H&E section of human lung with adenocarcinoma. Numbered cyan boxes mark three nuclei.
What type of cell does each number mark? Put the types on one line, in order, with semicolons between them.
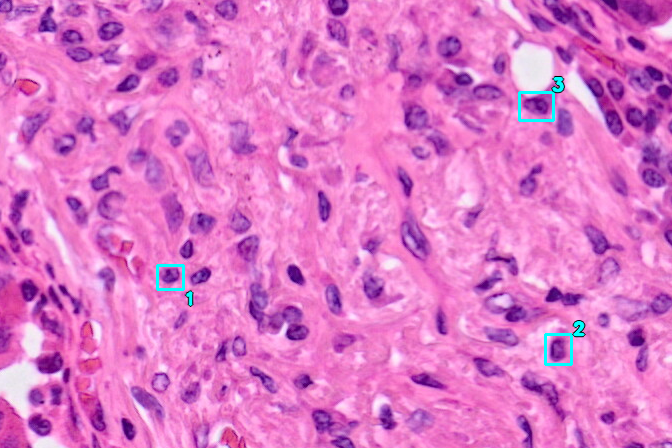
lymphocyte; plasma cell; plasma cell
